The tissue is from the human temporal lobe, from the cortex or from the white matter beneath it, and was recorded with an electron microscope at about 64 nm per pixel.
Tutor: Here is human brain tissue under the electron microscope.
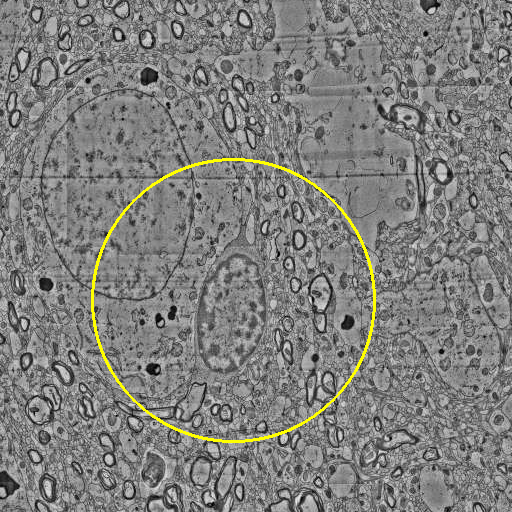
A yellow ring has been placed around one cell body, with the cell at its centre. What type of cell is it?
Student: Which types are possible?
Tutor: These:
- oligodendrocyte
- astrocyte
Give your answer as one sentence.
What the ring picks out here is an oligodendrocyte.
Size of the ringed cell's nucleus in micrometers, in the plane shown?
Approximately 8 by 4 micrometers, which makes the nucleus clearly longer than it is wide in this plane.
